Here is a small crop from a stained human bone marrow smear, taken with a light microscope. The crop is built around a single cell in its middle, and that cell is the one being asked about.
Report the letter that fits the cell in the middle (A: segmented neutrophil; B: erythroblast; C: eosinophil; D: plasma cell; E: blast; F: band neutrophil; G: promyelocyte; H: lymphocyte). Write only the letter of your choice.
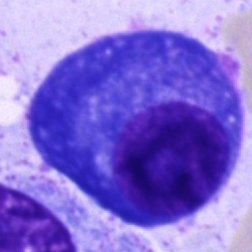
D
